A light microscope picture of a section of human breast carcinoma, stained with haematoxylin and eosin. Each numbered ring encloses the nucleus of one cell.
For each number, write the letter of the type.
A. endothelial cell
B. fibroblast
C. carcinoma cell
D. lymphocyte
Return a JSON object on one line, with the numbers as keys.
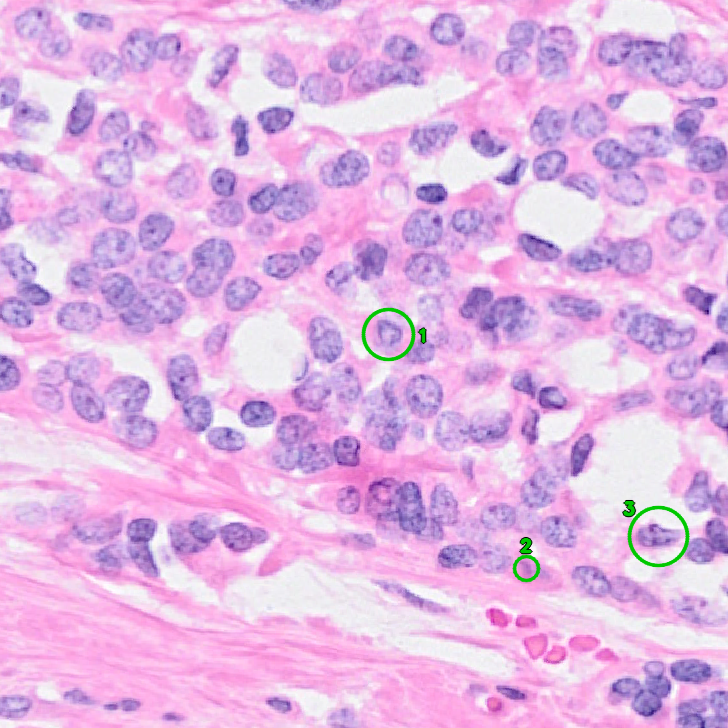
{"1": "C", "2": "A", "3": "C"}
